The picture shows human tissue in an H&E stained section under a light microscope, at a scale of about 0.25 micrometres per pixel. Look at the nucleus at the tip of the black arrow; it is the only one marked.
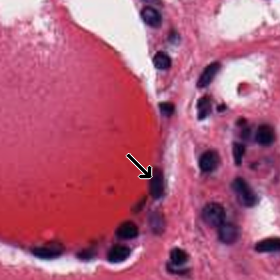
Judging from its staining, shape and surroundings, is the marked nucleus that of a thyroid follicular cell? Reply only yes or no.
yes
